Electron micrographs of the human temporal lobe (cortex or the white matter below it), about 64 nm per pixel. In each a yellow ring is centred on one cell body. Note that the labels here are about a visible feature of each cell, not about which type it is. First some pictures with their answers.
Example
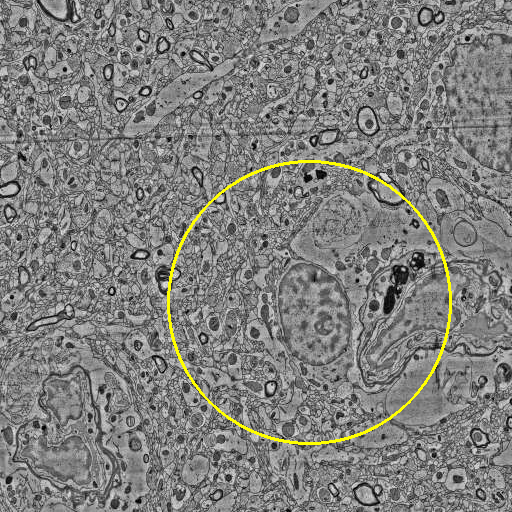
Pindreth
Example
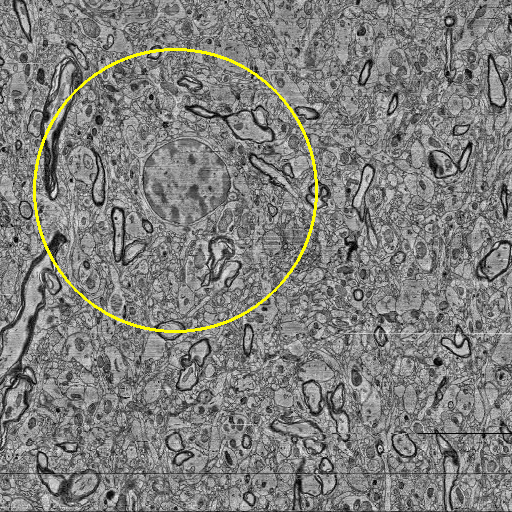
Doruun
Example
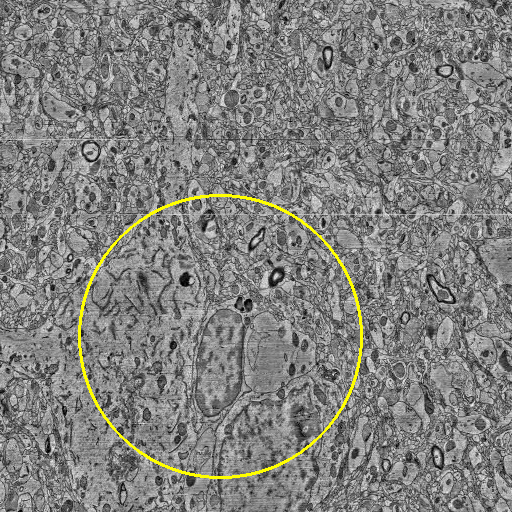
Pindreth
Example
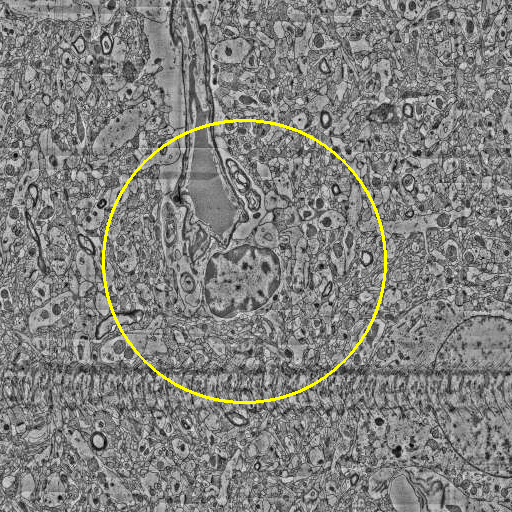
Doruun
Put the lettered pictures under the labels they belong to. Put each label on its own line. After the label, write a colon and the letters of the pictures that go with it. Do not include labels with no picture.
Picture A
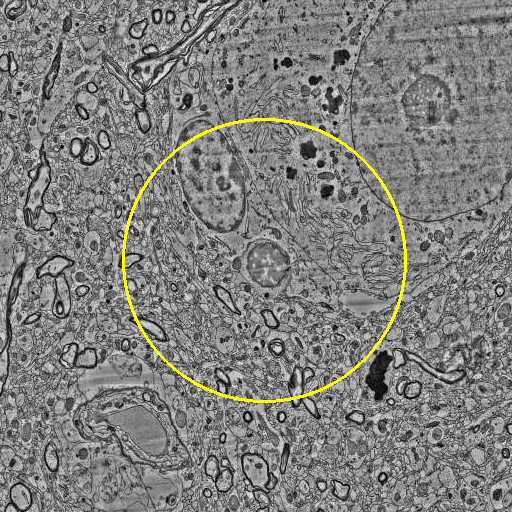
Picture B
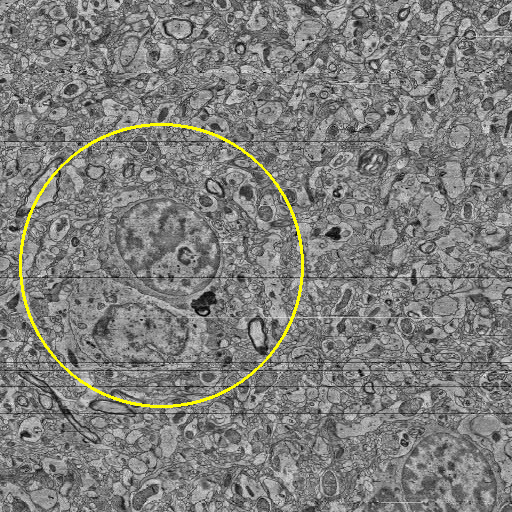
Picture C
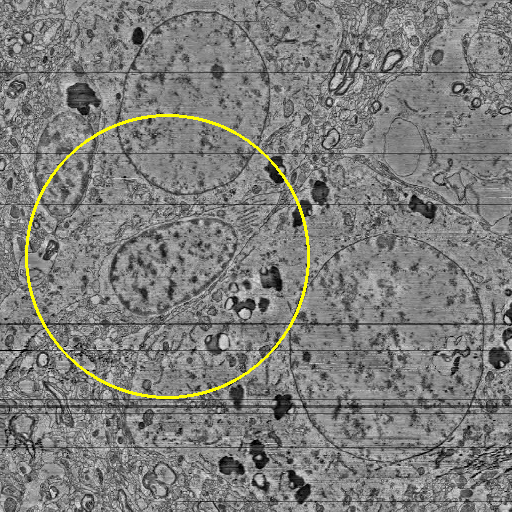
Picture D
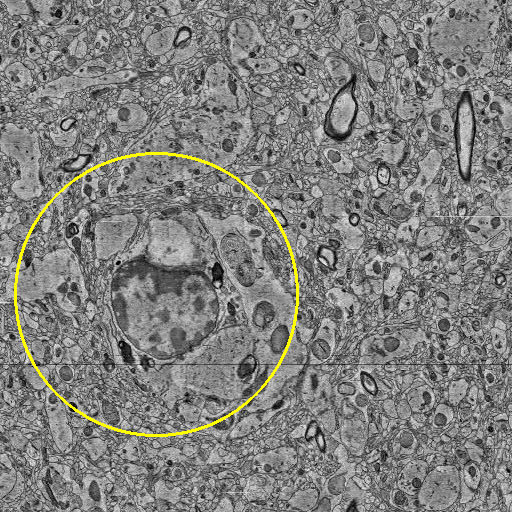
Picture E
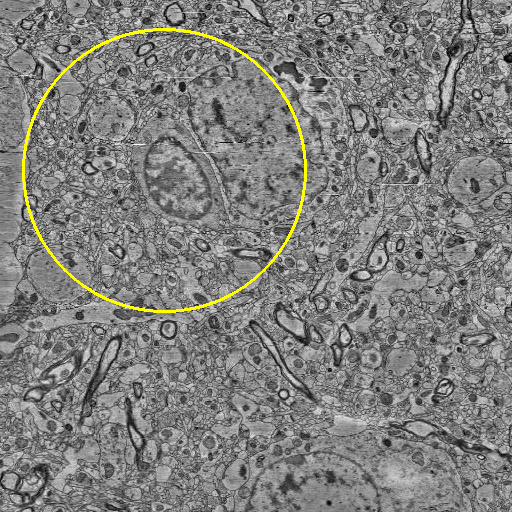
Pindreth: C, E
Doruun: A, B, D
